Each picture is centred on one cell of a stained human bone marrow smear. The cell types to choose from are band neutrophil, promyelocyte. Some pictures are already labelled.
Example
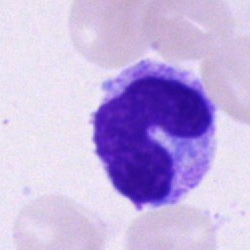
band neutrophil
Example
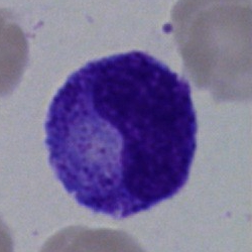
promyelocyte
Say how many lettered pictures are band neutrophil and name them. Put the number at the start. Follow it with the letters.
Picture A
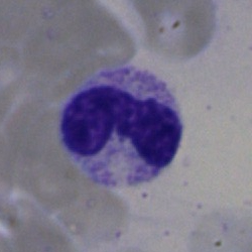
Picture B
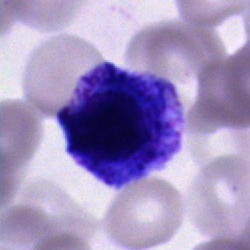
1: A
